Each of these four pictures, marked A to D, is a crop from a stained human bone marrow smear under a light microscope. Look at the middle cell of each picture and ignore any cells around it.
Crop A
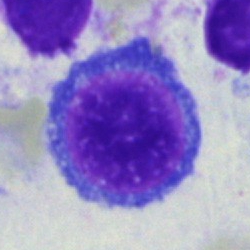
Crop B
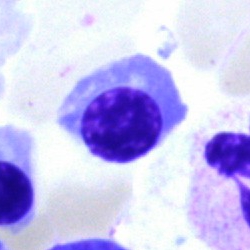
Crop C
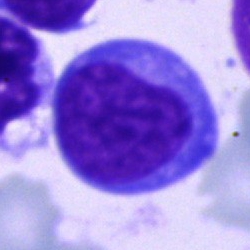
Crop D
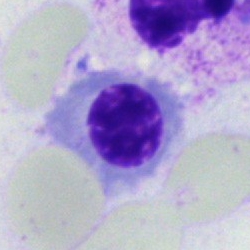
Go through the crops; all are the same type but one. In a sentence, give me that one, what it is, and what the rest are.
Differing from the rest, crop C shows a blast; the others all show erythroblasts.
